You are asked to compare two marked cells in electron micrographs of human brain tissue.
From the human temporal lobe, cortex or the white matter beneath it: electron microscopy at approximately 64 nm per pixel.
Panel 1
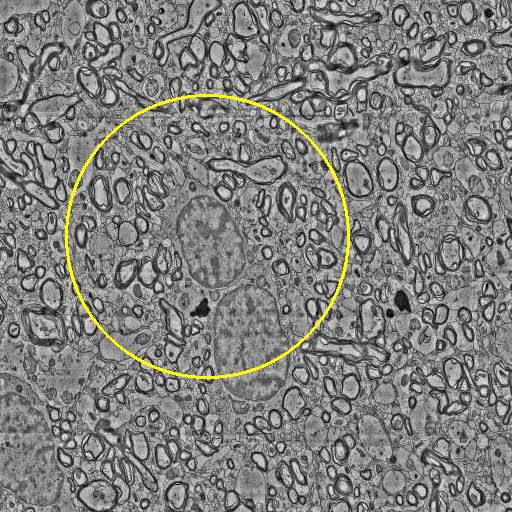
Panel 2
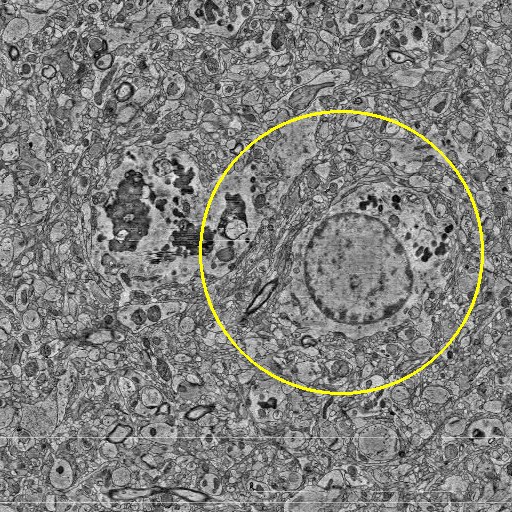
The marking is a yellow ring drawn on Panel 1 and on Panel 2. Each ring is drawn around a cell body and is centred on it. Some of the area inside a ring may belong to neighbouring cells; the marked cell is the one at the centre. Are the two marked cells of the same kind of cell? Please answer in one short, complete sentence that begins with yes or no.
No, the two marked cells are of two kinds.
